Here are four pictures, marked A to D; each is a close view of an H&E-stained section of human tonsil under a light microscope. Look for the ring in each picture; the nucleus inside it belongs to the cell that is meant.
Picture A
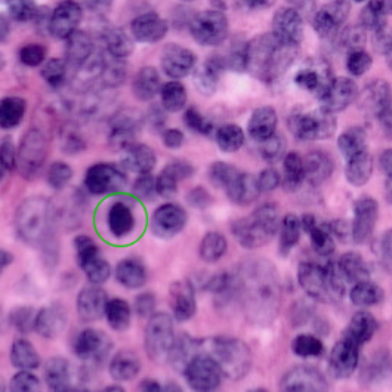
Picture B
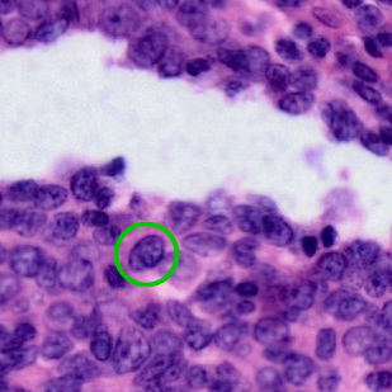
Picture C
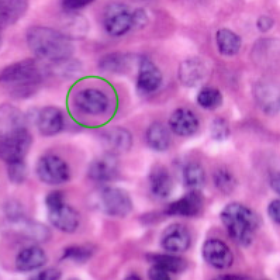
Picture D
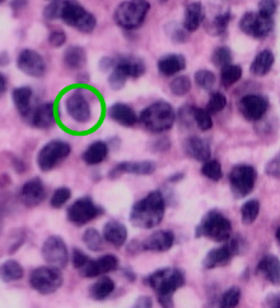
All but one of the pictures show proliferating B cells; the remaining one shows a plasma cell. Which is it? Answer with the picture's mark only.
C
